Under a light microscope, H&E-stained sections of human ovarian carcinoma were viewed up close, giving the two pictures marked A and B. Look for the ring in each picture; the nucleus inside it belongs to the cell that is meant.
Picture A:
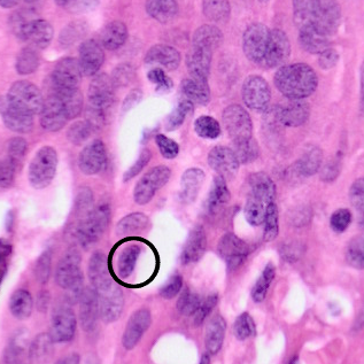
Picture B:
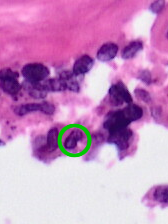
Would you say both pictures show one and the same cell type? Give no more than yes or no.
yes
